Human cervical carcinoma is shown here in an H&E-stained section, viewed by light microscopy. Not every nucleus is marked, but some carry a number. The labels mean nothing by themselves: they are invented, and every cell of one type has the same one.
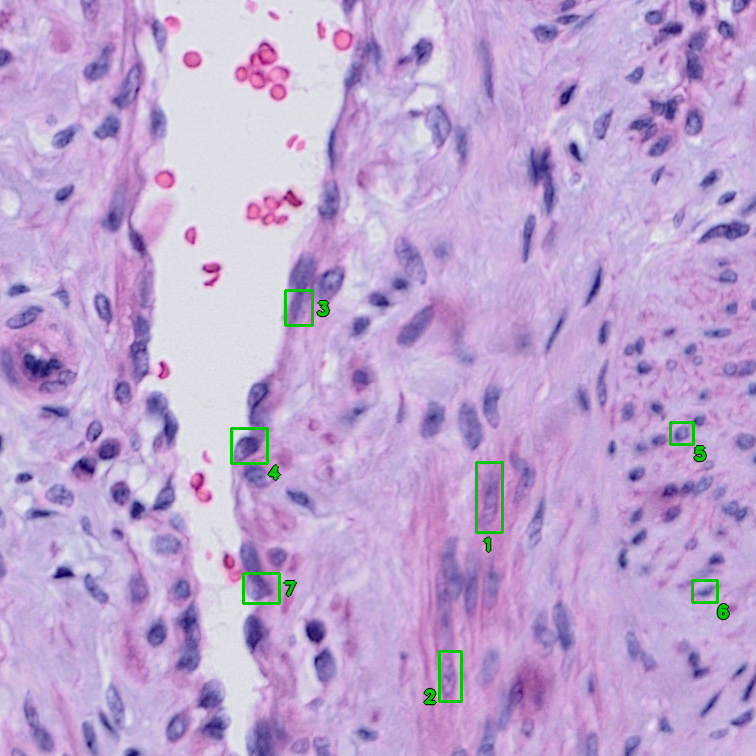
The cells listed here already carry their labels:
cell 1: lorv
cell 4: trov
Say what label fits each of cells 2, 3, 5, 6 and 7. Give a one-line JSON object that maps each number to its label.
{"2": "lorv", "3": "trov", "5": "lorv", "6": "lorv", "7": "trov"}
